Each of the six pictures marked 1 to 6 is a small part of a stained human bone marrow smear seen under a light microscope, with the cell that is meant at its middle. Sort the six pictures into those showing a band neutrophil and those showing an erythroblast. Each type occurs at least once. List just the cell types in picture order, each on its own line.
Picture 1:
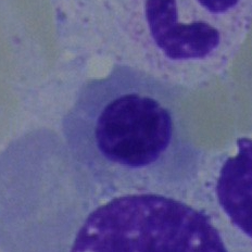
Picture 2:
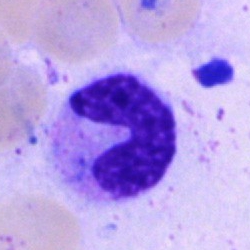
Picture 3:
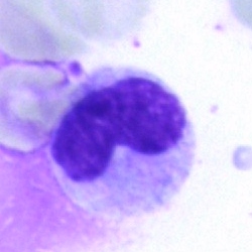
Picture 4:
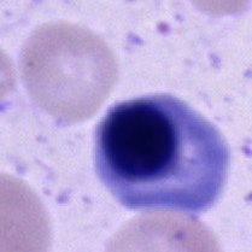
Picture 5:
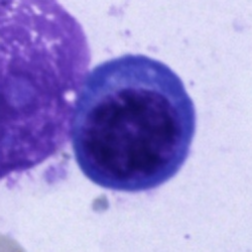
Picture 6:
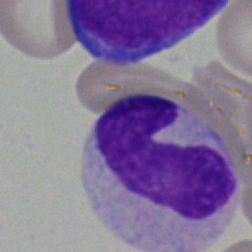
erythroblast
band neutrophil
band neutrophil
erythroblast
erythroblast
band neutrophil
